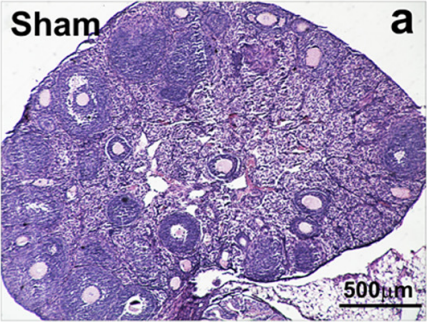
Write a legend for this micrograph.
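This is a whole section of an ovary stained purple and pink, with numerous follicles of varying size distributed around its outer part. Many follicles show a central pale oocyte surrounded by darker granulosa cell layers, and several larger ones have a pale fluid-filled cavity. The central region is looser, with scattered small spaces among the stromal tissue.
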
